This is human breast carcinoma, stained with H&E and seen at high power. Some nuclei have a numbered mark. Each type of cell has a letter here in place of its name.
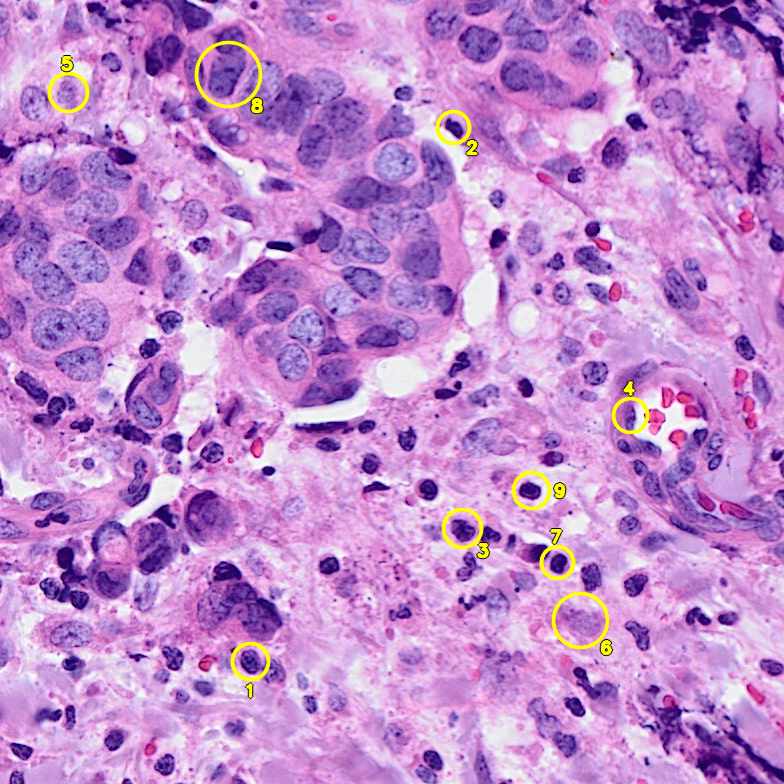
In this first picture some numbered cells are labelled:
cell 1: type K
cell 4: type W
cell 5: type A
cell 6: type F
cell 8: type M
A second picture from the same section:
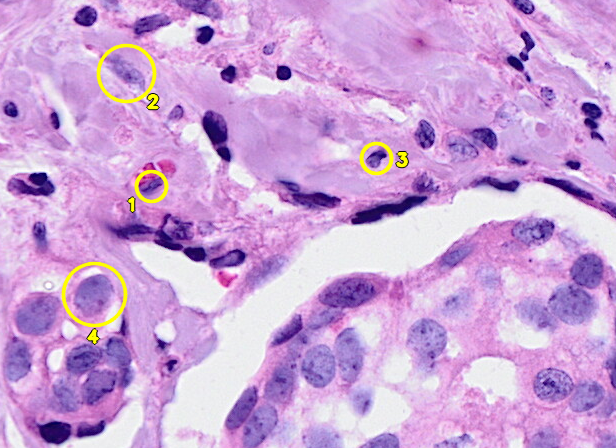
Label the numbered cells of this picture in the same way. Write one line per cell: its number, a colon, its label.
1: type W
2: type F
3: type K
4: type M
